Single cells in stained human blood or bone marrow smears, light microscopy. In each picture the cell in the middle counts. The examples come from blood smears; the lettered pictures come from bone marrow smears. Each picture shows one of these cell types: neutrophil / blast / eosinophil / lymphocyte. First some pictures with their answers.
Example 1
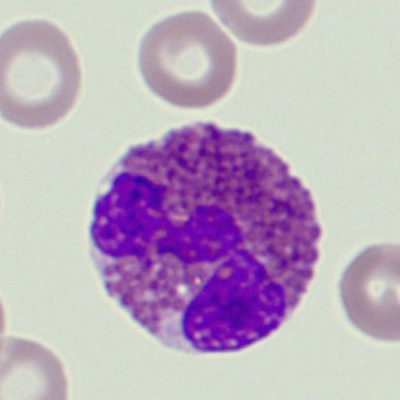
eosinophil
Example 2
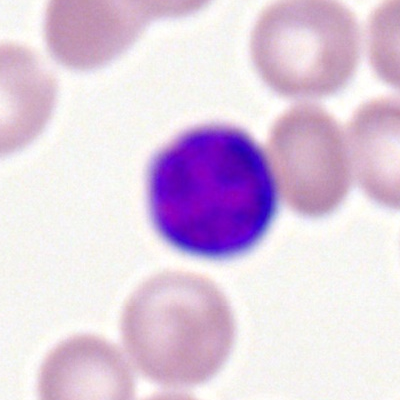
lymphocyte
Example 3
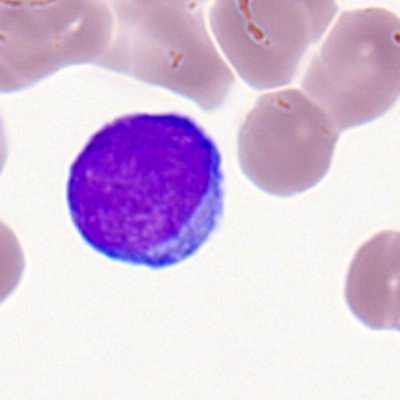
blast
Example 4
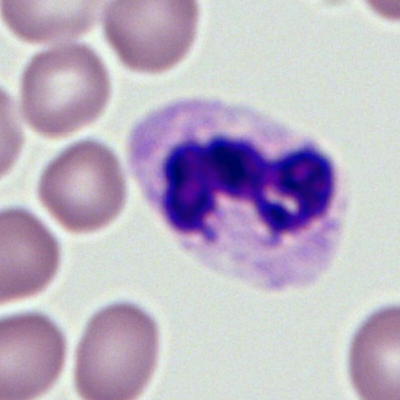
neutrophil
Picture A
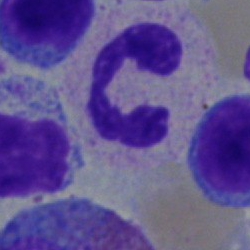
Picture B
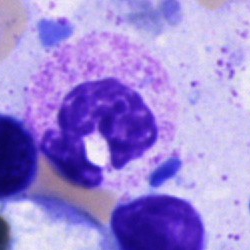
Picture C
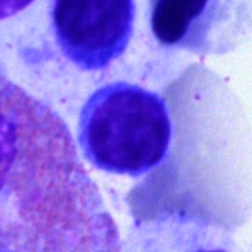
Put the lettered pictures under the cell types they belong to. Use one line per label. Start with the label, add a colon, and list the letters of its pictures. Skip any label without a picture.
neutrophil: A, B
lymphocyte: C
